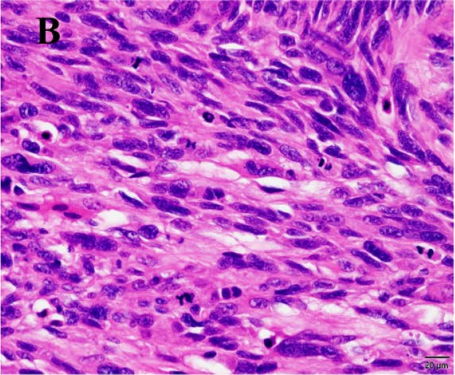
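This tumor tissue is made of atypical spindle cells packed in intersecting, streaming bundles. The nuclei are elongated to irregular, enlarged and dark purple, and vary strikingly in size and shape, with some large, bizarre forms. Several cells show condensed, clumped dark chromatin of mitotic figures. The cytoplasm is pink and drawn out along the long axis of the cells, and a few clear spaces lie between the cells.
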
